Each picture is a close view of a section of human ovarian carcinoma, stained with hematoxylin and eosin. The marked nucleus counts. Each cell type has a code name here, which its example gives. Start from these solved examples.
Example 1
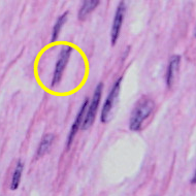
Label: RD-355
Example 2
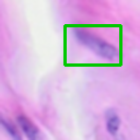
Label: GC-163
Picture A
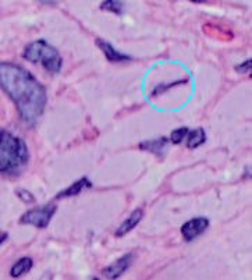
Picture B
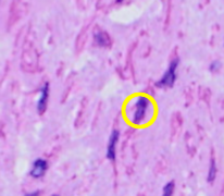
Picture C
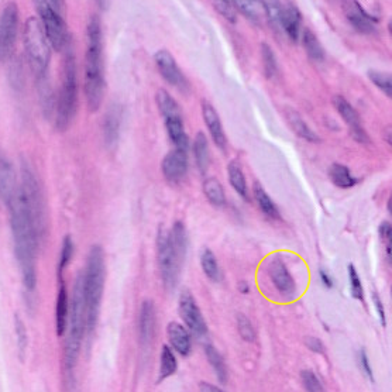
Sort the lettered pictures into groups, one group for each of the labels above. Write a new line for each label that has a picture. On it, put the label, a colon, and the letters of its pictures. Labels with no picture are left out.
RD-355: A, B
GC-163: C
